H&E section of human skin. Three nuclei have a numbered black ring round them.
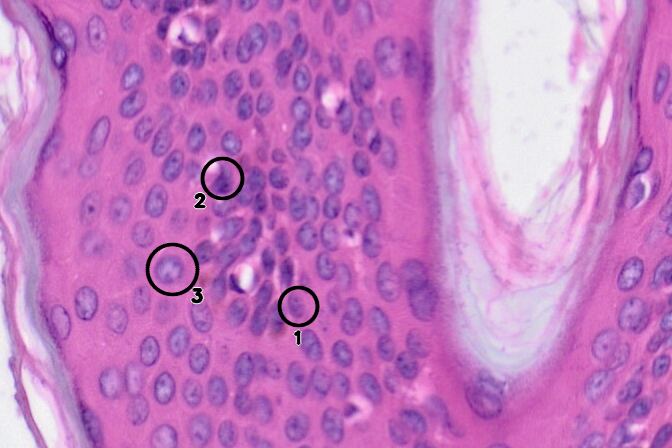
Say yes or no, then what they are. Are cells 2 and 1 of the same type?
Yes, both are basal keratinocytes.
